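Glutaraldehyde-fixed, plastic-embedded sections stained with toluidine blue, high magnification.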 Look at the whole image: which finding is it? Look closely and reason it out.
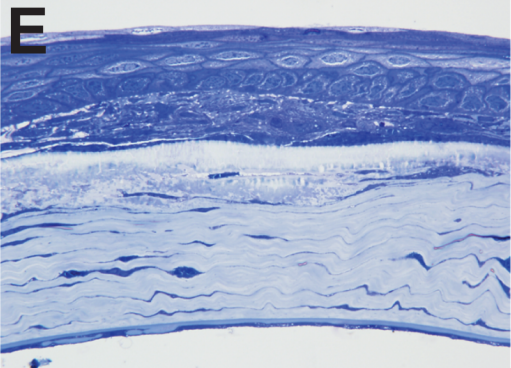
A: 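Deposition of a crystalline substance between the epithelial and stromal layers. A thin pale, nearly unstained band lies between the cellular epithelium and the lamellar layer. The band has a streaky, glassy texture.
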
